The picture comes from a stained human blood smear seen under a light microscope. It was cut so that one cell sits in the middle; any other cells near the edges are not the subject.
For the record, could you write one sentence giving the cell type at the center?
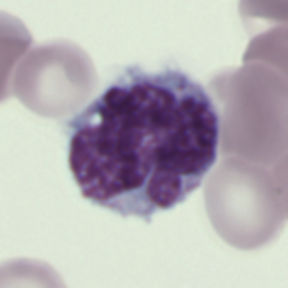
Classified as a monocyte is the cell in the middle of this crop.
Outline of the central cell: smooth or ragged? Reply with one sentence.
Irregular and not smooth, the cell boundary is ragged or drawn out into projections.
